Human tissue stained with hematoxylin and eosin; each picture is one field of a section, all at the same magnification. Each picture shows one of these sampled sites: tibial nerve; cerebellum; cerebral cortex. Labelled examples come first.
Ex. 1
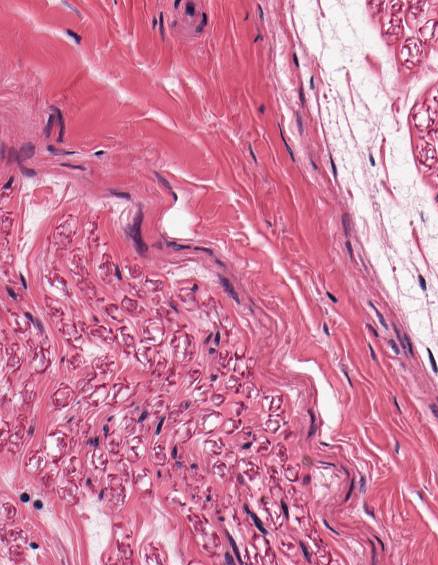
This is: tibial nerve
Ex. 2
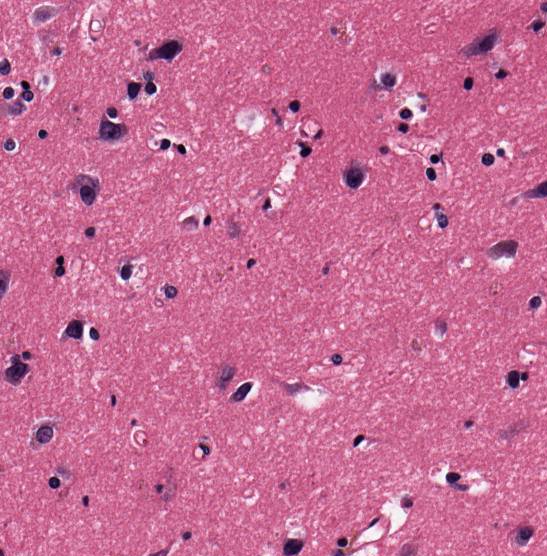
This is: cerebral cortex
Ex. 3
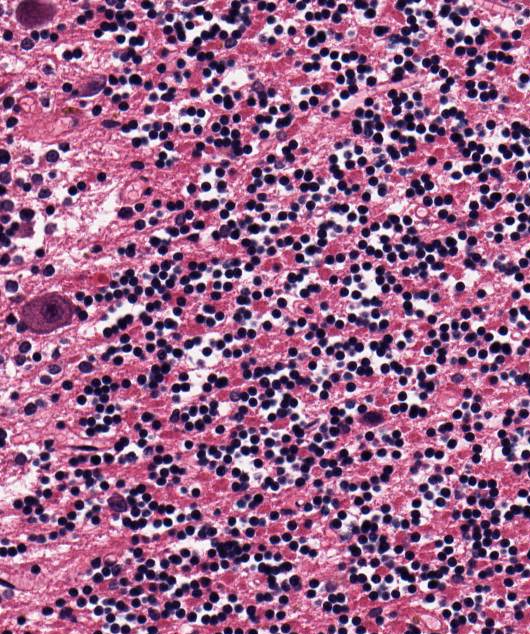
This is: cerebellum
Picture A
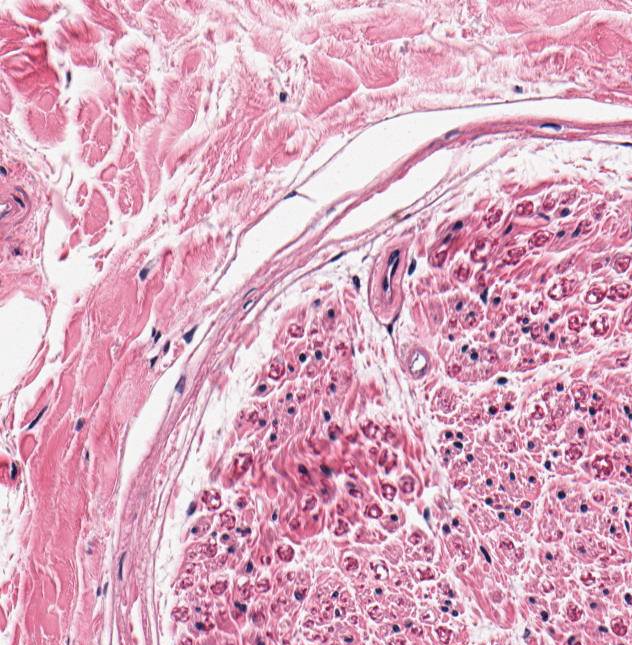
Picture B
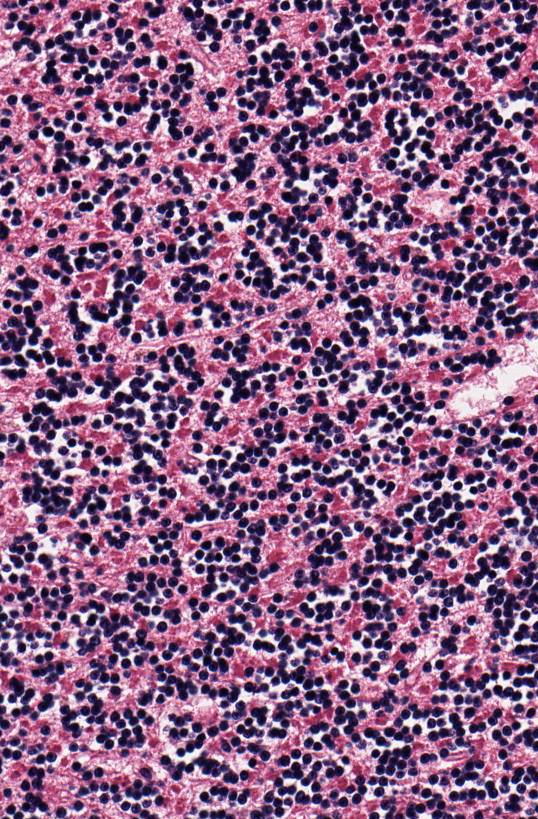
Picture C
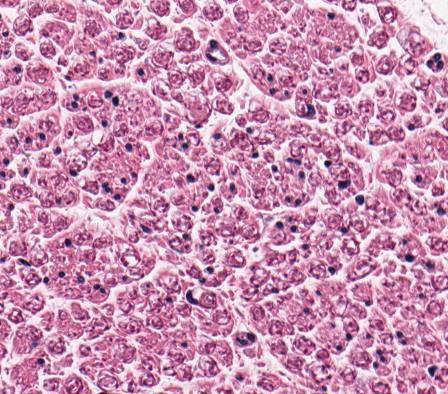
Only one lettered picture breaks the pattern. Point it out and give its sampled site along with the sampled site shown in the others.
Odd one out: B (cerebellum). The rest: tibial nerve.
